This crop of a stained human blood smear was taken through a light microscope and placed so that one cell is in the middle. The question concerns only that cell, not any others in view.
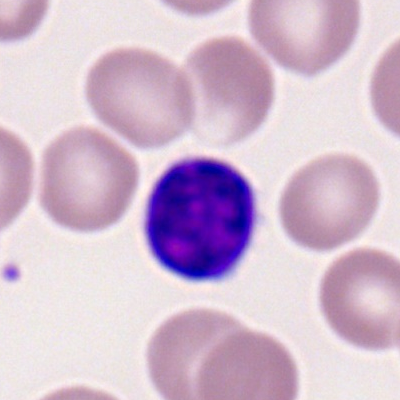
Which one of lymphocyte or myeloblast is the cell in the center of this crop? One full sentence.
The cell at the middle of the crop is recognized as a lymphocyte.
